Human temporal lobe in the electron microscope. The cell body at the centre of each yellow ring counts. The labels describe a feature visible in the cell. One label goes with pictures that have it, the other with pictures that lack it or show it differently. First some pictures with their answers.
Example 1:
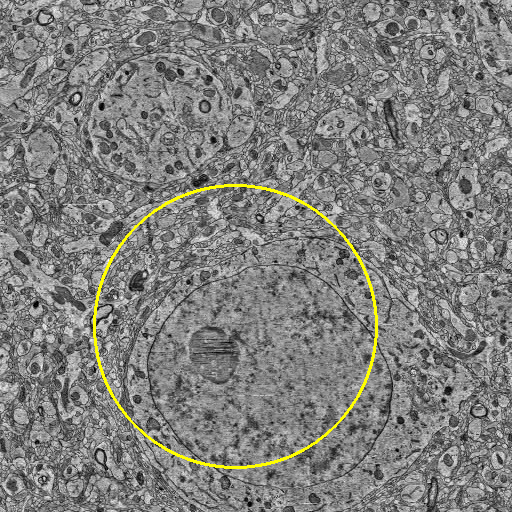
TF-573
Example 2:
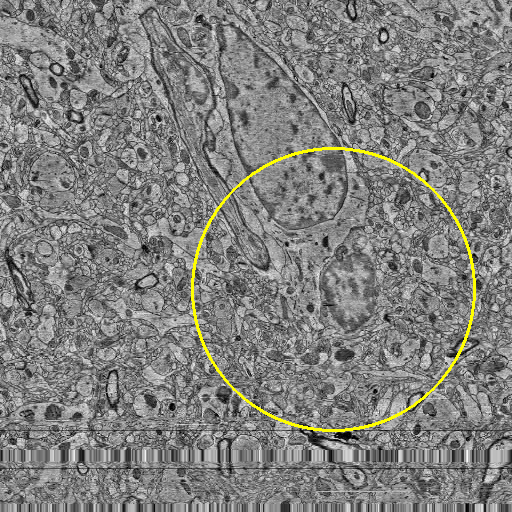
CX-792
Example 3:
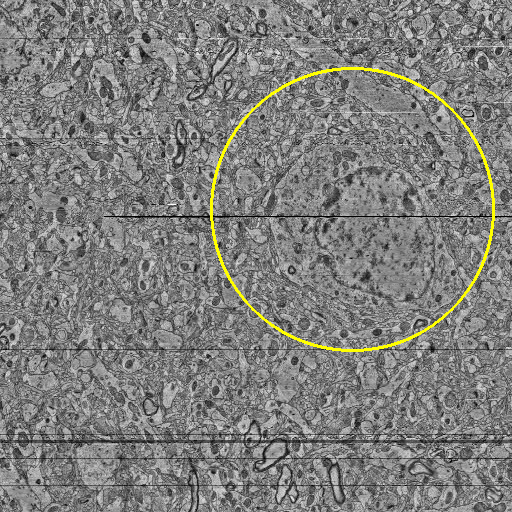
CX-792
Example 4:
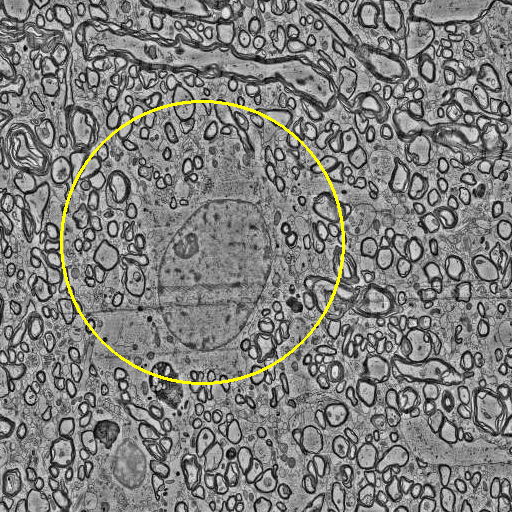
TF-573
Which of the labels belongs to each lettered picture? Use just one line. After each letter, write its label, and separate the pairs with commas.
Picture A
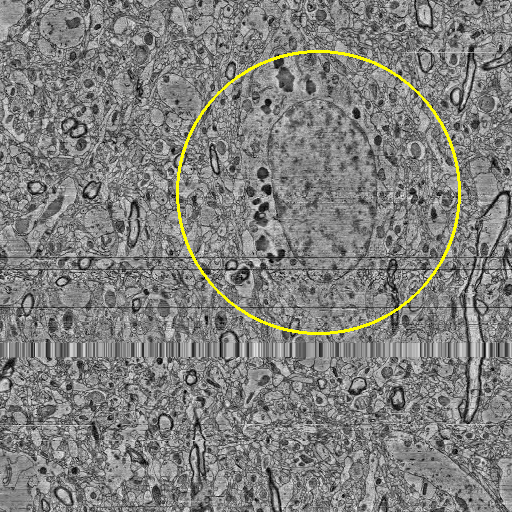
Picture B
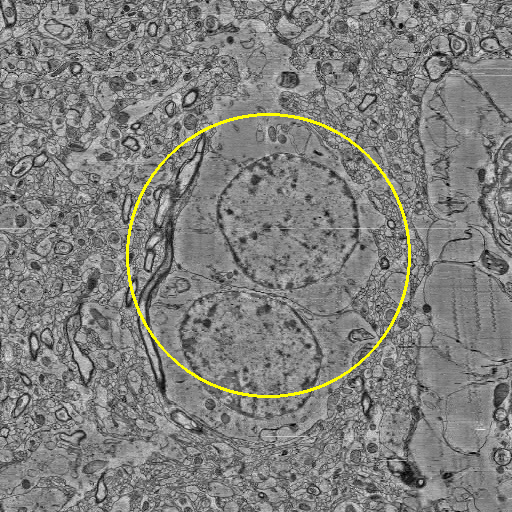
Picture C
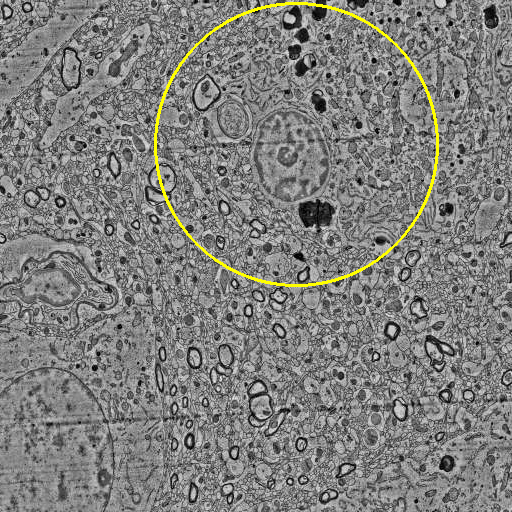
A CX-792, B CX-792, C TF-573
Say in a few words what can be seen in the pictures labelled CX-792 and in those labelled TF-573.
CX-792: no nucleolus seen; TF-573: nucleolus seen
